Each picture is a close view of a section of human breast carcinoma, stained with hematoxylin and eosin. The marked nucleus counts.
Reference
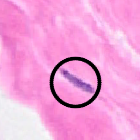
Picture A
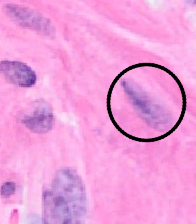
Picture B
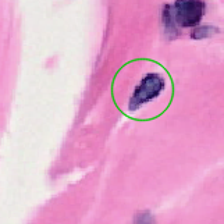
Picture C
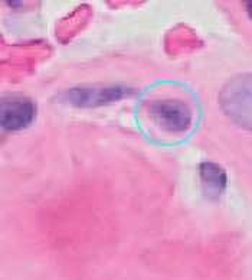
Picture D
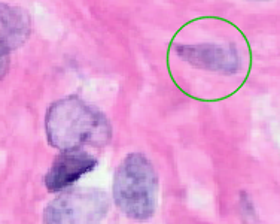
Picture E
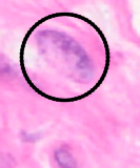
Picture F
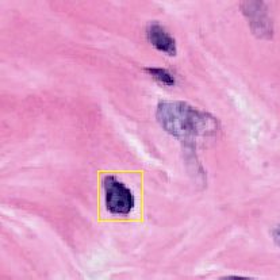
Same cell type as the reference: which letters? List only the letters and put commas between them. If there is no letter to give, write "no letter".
A, D, E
